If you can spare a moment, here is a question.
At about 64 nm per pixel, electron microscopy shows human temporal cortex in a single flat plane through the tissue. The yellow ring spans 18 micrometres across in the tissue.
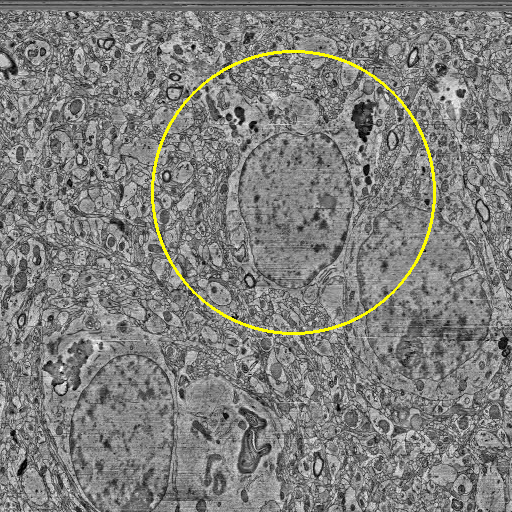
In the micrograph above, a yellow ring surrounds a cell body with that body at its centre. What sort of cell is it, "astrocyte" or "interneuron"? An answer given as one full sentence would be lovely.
Centred inside the yellow ring, the cell body shown belongs to an astrocyte in this micrograph.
